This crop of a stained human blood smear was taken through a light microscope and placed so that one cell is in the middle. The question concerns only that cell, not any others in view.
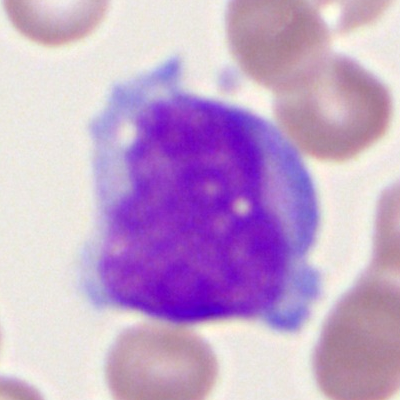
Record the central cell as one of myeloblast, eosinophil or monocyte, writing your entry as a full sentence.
Where the crop is centred, there is a monocyte.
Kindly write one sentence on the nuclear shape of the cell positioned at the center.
See how the nucleus sits as one compact round, oval or kidney-shaped mass.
